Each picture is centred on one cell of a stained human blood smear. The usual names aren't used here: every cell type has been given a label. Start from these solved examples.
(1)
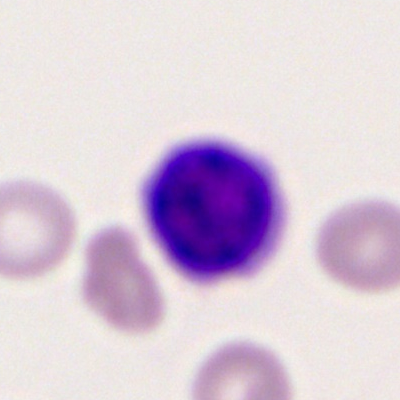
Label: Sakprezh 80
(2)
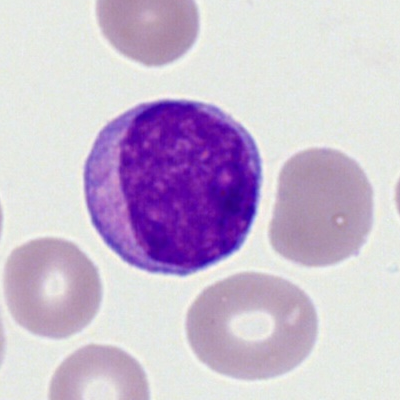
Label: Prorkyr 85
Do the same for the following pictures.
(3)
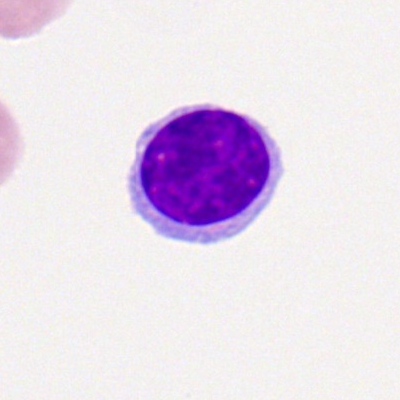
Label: Sakprezh 80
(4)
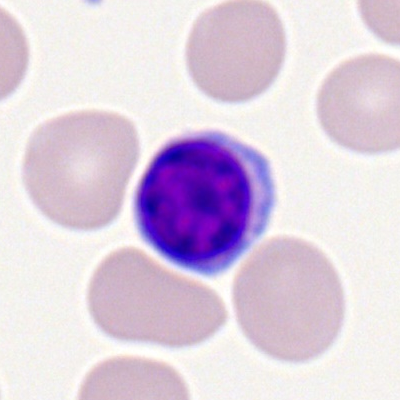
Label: Sakprezh 80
